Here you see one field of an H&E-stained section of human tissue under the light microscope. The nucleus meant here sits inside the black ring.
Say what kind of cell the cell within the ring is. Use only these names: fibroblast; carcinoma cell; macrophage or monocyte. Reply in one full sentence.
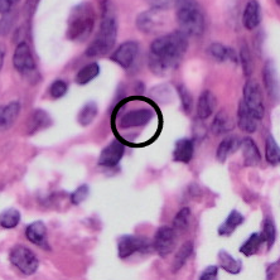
In this field of tissue, the cell within the ring is a carcinoma cell.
